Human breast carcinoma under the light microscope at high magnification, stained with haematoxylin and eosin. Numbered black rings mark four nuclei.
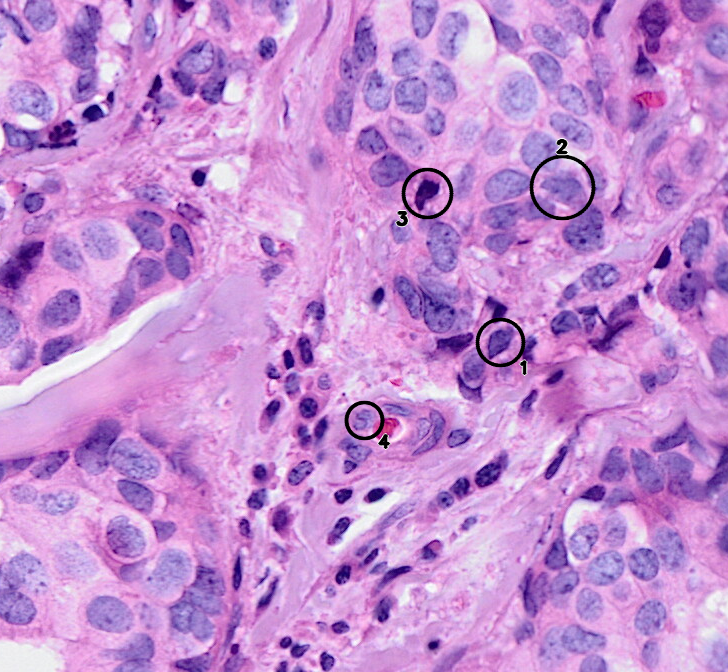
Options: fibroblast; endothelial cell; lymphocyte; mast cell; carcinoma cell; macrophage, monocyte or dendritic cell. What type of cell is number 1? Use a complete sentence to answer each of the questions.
The cell identified by the number 1 is a carcinoma cell.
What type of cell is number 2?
To a carcinoma cell belongs the nucleus marked 2.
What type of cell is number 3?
Cell number 3 in this section is a carcinoma cell.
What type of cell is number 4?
Regarding cell 4, this one is an endothelial cell.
